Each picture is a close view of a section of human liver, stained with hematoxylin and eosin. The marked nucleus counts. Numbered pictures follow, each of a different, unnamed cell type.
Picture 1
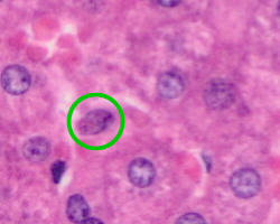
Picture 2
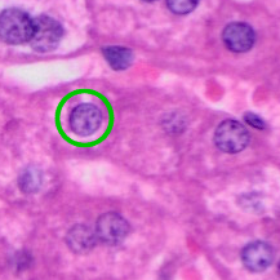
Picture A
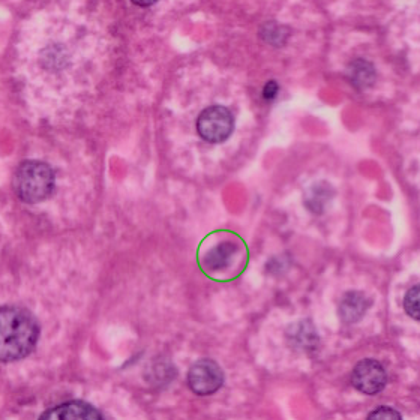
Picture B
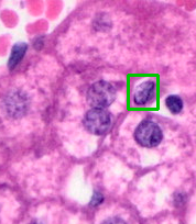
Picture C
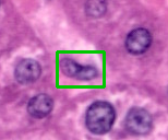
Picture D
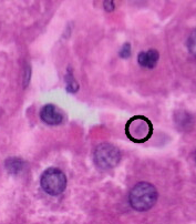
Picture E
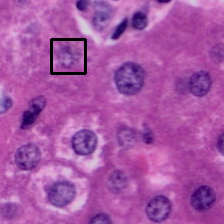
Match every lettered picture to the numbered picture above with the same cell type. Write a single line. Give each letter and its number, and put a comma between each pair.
A 1, B 1, C 1, D 1, E 2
